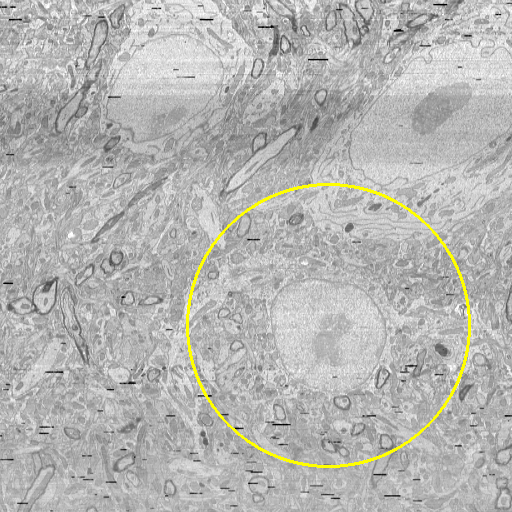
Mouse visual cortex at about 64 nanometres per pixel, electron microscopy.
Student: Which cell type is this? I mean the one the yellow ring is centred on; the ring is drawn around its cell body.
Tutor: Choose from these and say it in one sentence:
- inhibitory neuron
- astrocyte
The cell the ring is centred on is an astrocyte.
